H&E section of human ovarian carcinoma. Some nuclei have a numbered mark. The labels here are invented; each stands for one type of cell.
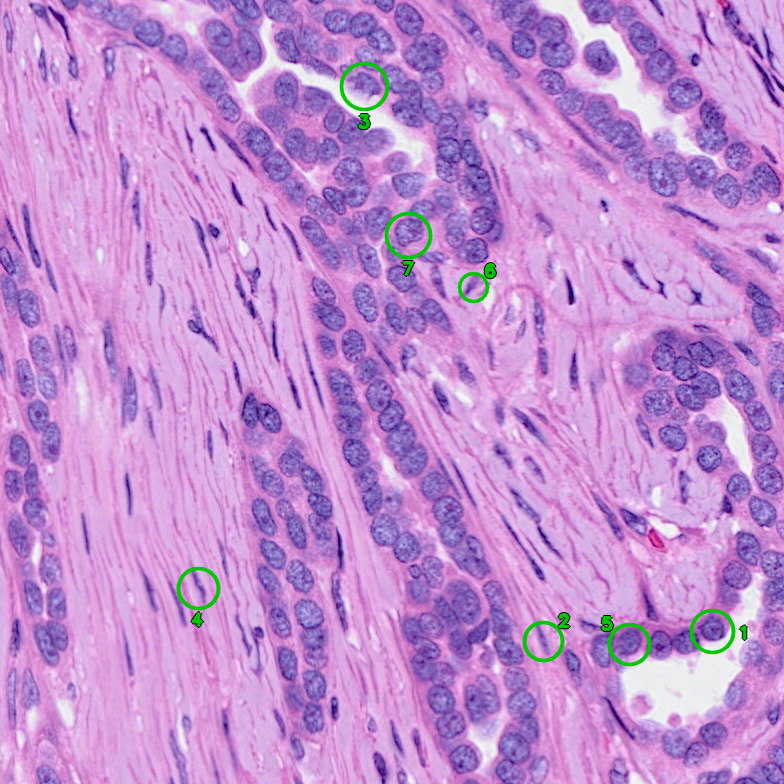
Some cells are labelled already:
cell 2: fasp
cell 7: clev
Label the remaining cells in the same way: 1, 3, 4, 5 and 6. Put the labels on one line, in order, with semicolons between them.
clev; clev; fasp; clev; fasp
